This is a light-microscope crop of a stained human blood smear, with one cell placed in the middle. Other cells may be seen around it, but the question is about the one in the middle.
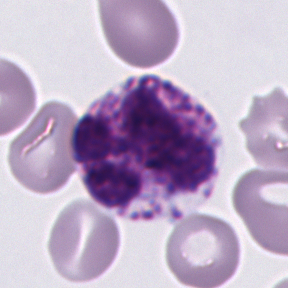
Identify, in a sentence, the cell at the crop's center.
Present in the middle of the crop is a basophil.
